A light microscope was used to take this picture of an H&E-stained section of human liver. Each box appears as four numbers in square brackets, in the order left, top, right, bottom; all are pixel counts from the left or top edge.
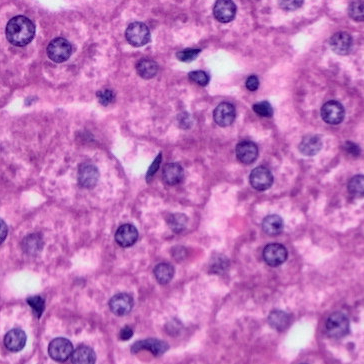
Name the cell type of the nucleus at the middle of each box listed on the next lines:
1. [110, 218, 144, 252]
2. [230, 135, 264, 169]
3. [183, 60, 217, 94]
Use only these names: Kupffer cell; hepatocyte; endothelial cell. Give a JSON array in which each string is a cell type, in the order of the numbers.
["hepatocyte", "hepatocyte", "Kupffer cell"]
